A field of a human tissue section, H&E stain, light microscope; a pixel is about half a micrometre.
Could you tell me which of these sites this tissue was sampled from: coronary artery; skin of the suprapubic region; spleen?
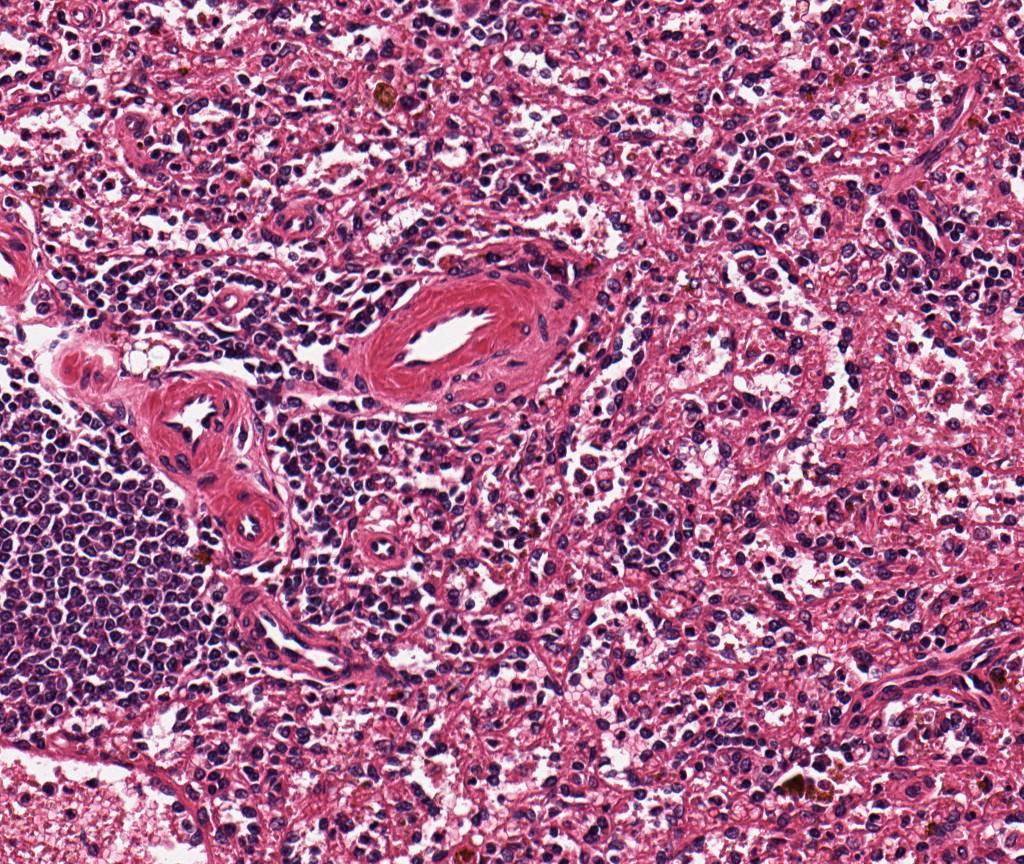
spleen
